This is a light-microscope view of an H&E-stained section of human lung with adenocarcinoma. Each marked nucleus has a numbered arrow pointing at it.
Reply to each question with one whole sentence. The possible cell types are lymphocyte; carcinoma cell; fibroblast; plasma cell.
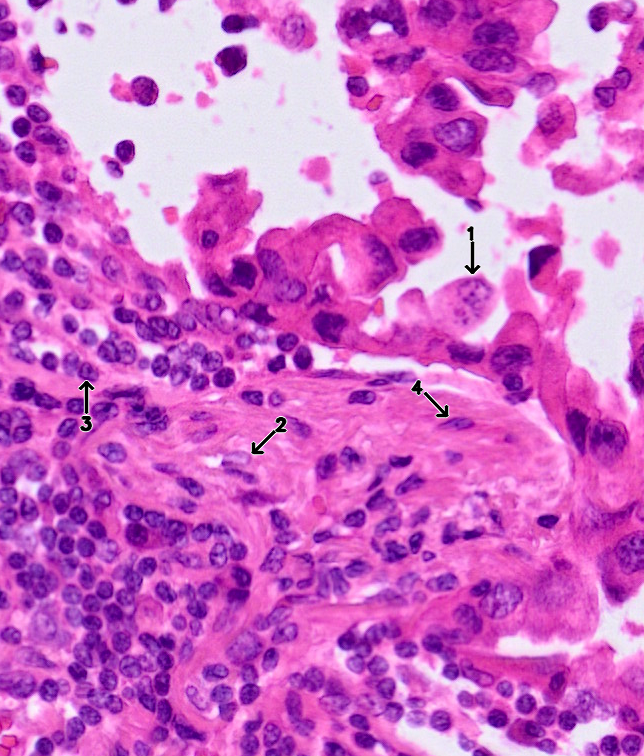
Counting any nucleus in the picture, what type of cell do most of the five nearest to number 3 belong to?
Most of the five nuclei nearest to number 3 are those of lymphocytes.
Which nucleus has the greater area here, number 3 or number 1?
Nucleus 1 is the larger one, covering about 4 times the area of nucleus 3.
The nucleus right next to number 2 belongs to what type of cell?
Closest to number 2 lies the nucleus of a plasma cell.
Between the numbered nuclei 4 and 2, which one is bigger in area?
Number 2 is larger; its area is about 2.5 times that of number 4.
